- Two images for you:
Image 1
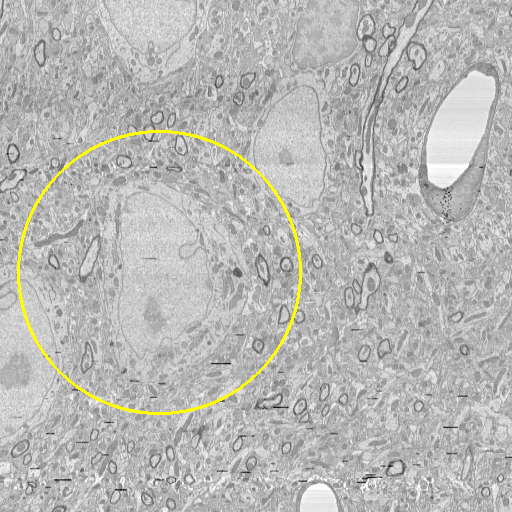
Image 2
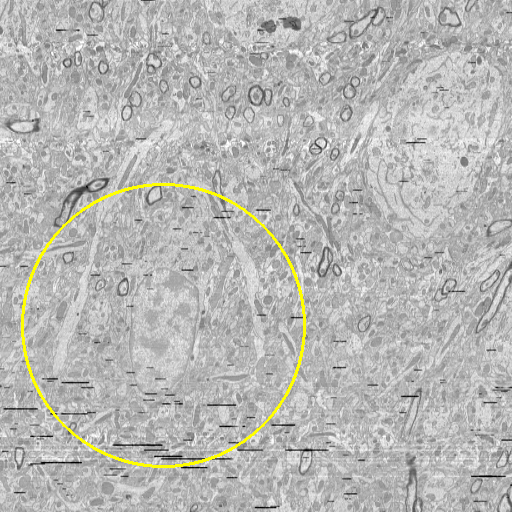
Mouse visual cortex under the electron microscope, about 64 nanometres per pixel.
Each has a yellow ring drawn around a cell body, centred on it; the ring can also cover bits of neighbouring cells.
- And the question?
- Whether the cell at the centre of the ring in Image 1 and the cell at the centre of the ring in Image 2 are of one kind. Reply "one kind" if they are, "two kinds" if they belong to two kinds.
two kinds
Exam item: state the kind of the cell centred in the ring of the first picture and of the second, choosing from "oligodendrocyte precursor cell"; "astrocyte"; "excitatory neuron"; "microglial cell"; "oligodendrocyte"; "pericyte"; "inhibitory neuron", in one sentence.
The first picture shows an excitatory neuron at the ring centre and the second shows an oligodendrocyte.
